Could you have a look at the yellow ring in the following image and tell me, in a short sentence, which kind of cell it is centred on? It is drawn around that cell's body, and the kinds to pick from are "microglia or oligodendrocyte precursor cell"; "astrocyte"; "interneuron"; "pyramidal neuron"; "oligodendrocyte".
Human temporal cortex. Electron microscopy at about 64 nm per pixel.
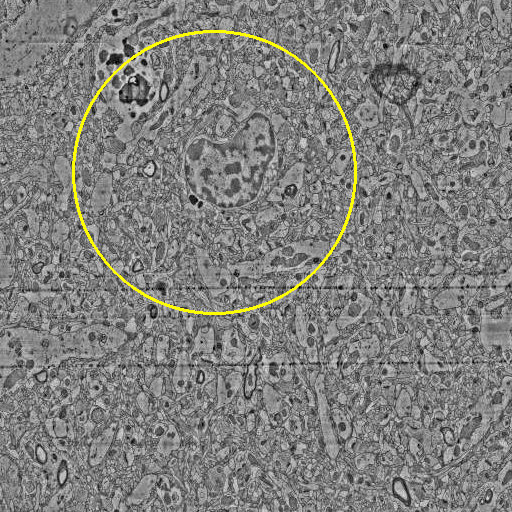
The ring is centred on the body of a microglial cell or oligodendrocyte precursor cell.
